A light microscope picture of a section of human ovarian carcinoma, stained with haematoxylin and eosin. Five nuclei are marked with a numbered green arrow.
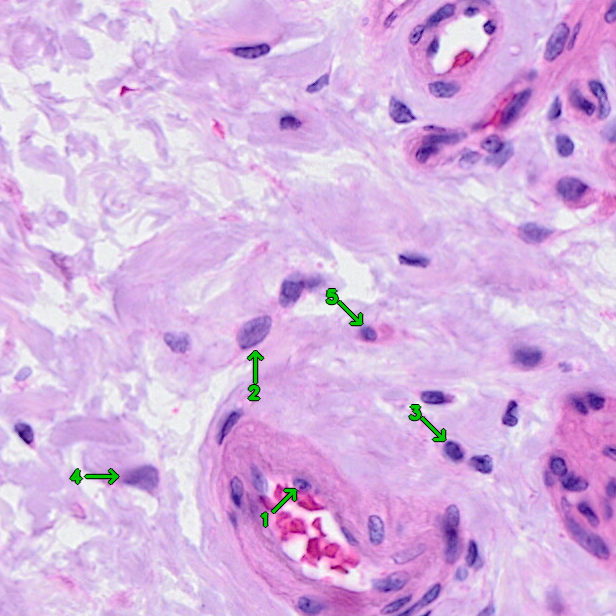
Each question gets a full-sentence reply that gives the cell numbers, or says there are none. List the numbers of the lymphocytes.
Cell 3 is a lymphocyte; no further numbered cell is.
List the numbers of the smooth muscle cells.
Only the cell numbered 5 is a smooth muscle cell, and the others are something else.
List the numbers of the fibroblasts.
In short, the numbered cells 2 and 4 are fibroblasts.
